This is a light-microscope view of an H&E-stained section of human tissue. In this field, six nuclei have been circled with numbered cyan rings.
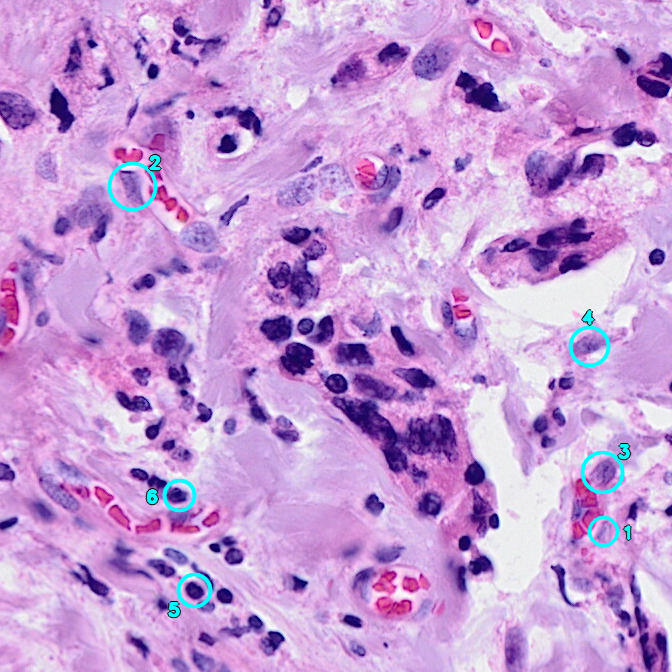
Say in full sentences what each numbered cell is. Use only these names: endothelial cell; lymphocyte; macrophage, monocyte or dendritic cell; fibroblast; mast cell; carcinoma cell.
Cells 1, 2 and 3 are endothelial cells. Cell 4 is a fibroblast. Cells 5 and 6 are lymphocytes.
